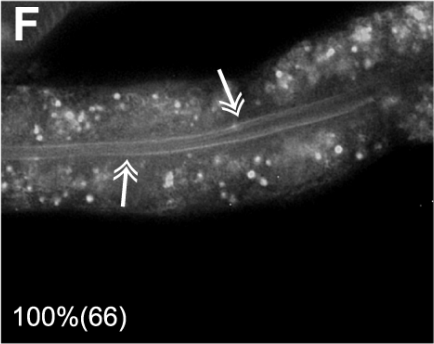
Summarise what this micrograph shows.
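A segment of gut is seen as a tube of intestinal cells with a narrow central lumen running lengthwise, bordered by two smooth lines at the apical pole of the cells. The cytoplasm on either side is packed with many bright round granules of varying size.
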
